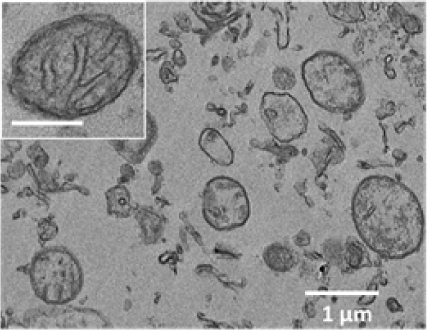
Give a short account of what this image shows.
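Transmission electron micrograph of a thin section through isolated mitochondria, which appear as round to oval organelles bounded by membranes, with folded inner cristae in a granular matrix. Between them lie many smaller membrane fragments of irregular, elongated and curved shapes. The inset shows one mitochondrion at higher magnification, with cristae crossing its interior.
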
